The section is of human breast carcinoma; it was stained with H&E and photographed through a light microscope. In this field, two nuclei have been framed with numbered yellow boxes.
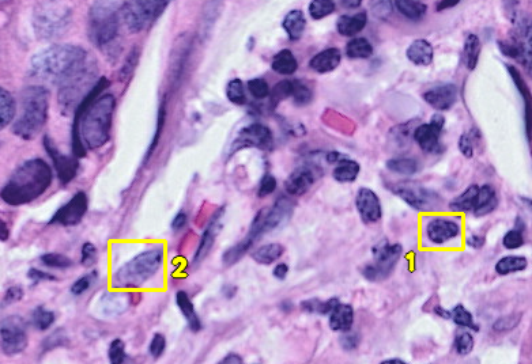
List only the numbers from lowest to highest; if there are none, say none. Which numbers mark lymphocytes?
1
